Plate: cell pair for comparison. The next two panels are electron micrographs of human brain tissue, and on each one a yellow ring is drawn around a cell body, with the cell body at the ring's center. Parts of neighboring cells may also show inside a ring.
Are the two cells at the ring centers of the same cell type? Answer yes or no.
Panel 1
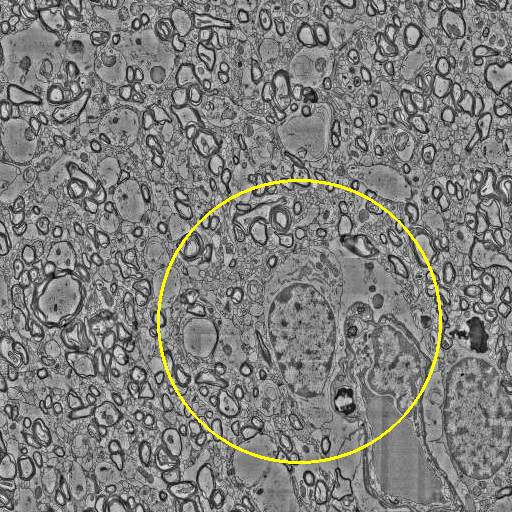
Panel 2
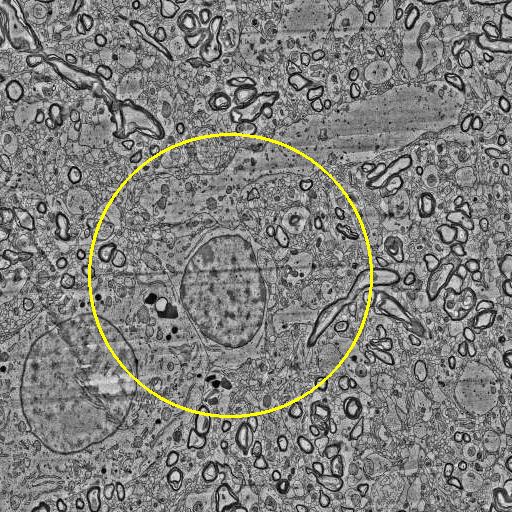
yes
